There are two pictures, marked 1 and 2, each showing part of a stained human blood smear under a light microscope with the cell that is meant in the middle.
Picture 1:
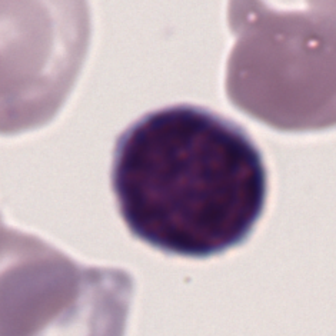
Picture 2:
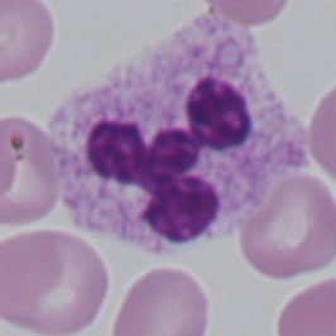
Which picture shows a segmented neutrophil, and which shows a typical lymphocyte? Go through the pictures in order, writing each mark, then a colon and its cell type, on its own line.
1: typical lymphocyte
2: segmented neutrophil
